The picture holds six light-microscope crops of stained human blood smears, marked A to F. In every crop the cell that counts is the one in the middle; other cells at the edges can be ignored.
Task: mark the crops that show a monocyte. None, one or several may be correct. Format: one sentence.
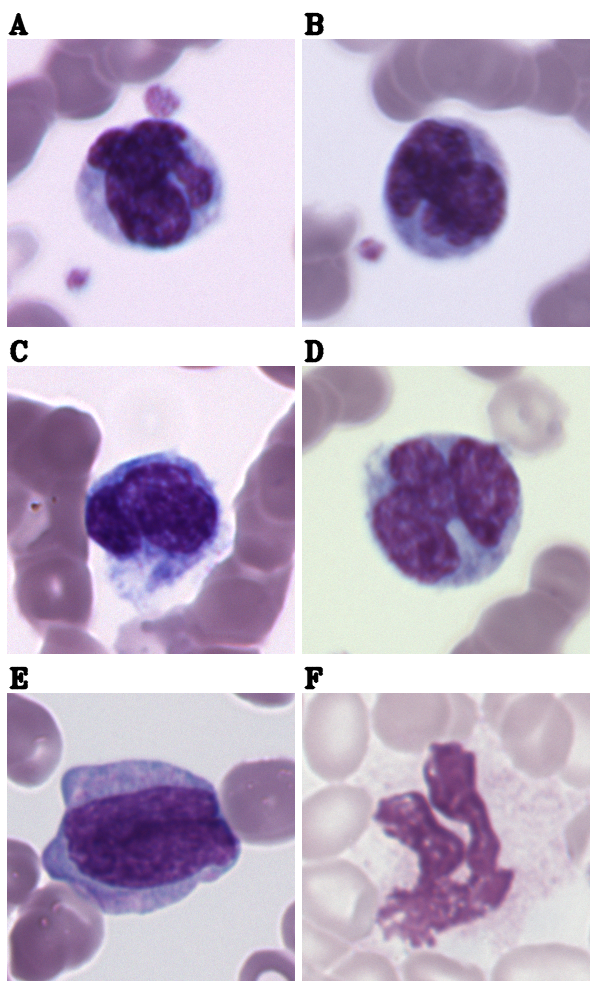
Here, the cells at the centre of crops A, B, C and D are monocytes.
